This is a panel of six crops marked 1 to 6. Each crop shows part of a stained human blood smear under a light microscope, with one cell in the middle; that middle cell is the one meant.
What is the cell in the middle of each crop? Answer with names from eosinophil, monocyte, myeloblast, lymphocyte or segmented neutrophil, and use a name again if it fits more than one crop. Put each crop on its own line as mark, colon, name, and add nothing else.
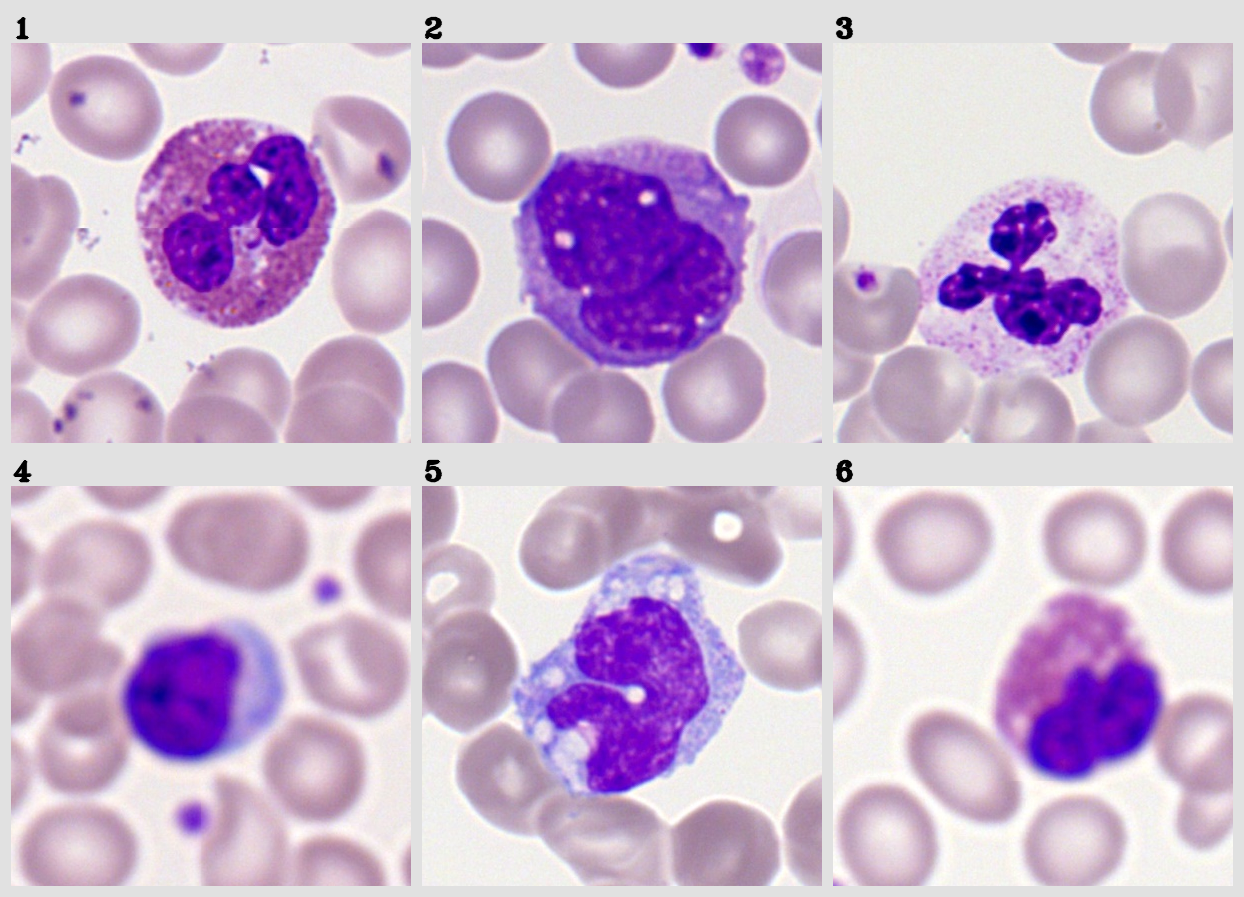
1: eosinophil
2: monocyte
3: segmented neutrophil
4: lymphocyte
5: monocyte
6: eosinophil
